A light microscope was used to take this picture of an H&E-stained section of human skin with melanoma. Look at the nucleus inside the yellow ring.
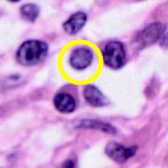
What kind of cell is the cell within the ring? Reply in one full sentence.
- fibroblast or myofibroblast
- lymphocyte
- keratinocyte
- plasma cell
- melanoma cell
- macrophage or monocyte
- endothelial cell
Cell type answer for this item: the cell within the ring is a lymphocyte.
